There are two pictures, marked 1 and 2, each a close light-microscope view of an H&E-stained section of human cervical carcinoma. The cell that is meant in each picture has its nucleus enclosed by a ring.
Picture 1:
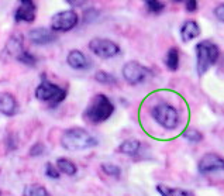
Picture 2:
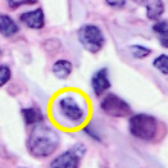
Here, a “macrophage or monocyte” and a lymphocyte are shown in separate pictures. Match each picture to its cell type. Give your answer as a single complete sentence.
The cell in picture 1 is a “macrophage or monocyte”, and the one in picture 2 is a lymphocyte.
